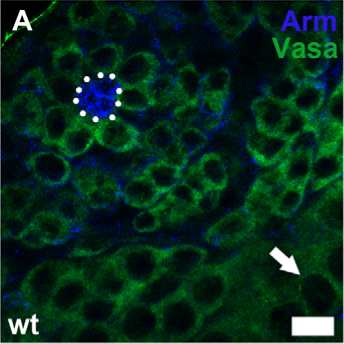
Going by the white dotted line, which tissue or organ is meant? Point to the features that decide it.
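A compact cluster of small blue-outlined cells lies inside the dotted line. Green-stained germ cells surround the cluster.
Conclusion: Hub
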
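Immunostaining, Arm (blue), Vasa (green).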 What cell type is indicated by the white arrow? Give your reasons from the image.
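The arrow points to large round cells far from the blue cluster. These cells are larger than the green cells near the cluster. On this evidence: spermatocytes.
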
